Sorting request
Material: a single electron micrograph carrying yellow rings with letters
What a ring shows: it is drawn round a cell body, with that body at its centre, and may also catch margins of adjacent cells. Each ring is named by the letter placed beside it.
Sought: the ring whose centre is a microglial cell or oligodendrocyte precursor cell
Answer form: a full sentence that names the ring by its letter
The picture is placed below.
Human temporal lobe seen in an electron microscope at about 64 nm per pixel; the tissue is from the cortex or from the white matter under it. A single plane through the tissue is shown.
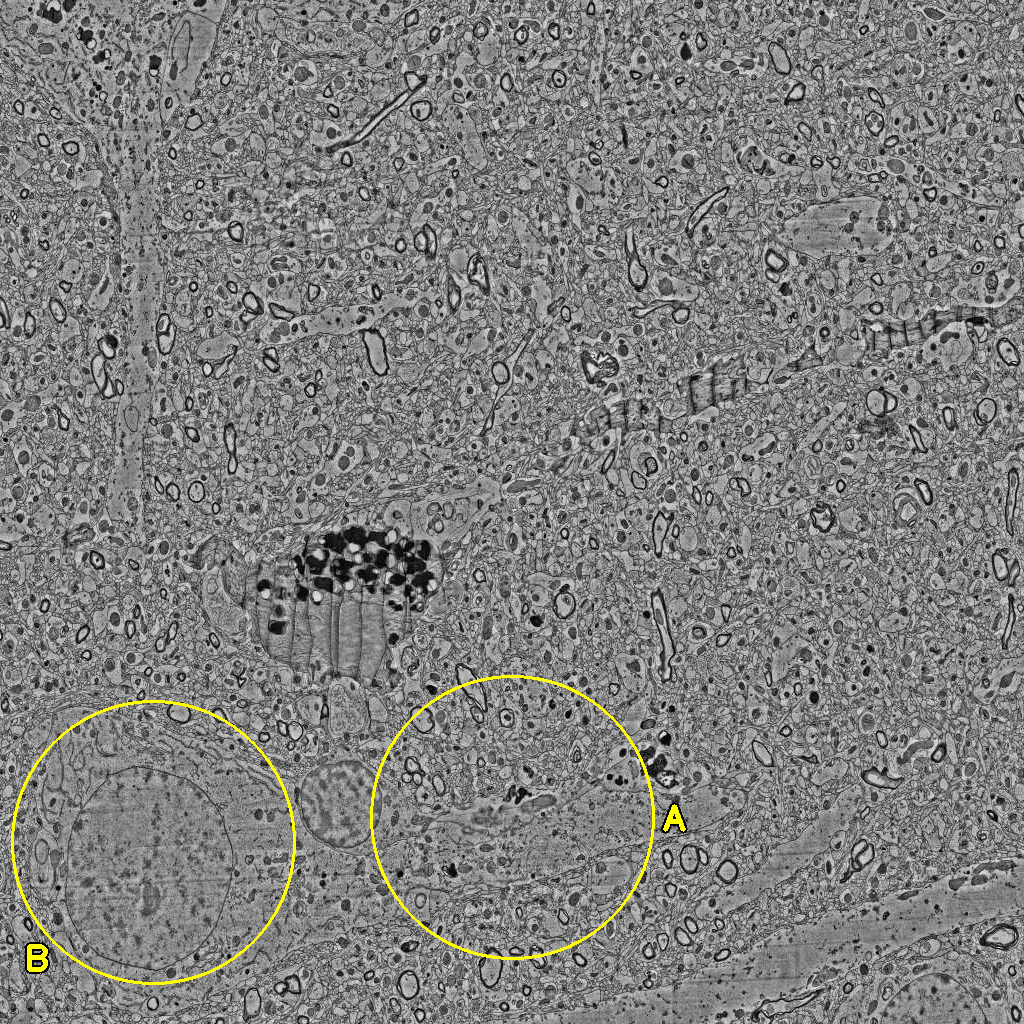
The ring centred on the cell asked for carries the letter A.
